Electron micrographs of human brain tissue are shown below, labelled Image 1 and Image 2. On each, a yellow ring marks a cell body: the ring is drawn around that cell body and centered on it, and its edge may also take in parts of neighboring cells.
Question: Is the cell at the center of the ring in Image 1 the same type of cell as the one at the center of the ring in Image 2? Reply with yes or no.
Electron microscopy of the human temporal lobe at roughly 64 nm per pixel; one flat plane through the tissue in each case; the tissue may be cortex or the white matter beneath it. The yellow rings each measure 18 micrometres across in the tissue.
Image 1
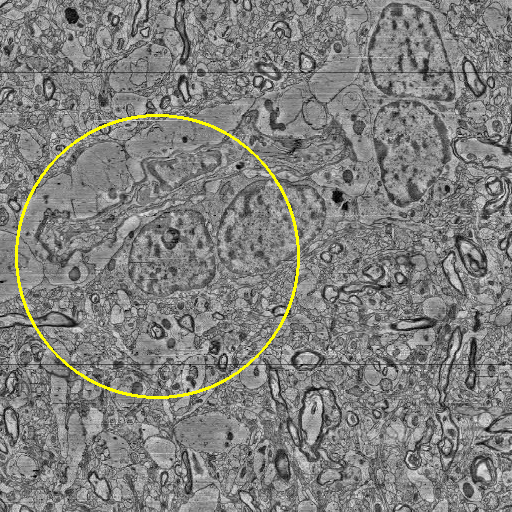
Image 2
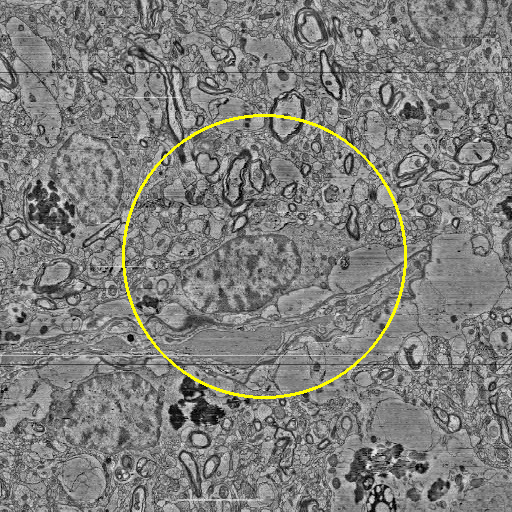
yes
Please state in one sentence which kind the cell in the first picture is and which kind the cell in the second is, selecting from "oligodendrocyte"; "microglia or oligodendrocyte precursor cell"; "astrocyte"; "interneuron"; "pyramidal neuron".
The first and the second cell are each an oligodendrocyte.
